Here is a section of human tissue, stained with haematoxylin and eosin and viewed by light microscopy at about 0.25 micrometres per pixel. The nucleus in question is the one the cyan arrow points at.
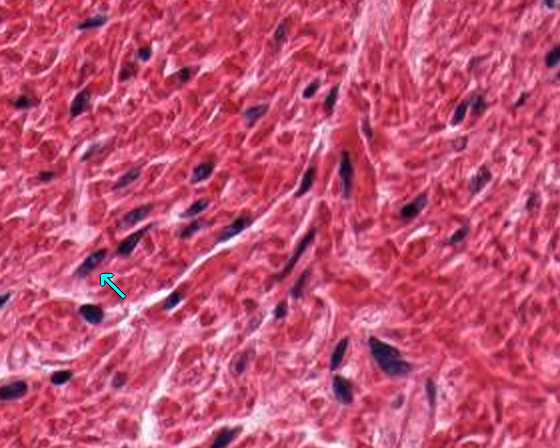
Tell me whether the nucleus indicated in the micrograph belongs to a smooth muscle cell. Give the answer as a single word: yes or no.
yes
